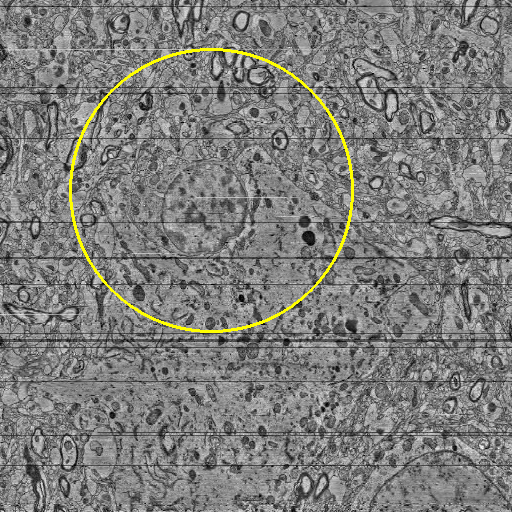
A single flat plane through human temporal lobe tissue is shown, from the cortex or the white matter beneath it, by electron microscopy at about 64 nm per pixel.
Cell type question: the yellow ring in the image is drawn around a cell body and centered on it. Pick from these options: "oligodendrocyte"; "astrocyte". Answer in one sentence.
The ringed cell at the center is an oligodendrocyte.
